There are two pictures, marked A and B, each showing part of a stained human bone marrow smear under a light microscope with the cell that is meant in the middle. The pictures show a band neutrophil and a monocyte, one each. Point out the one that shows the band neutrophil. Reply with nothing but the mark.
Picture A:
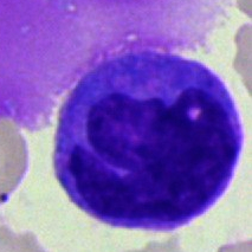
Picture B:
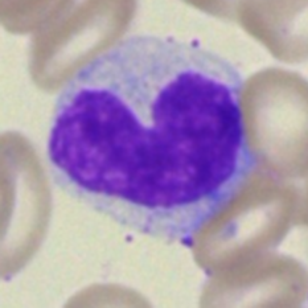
B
